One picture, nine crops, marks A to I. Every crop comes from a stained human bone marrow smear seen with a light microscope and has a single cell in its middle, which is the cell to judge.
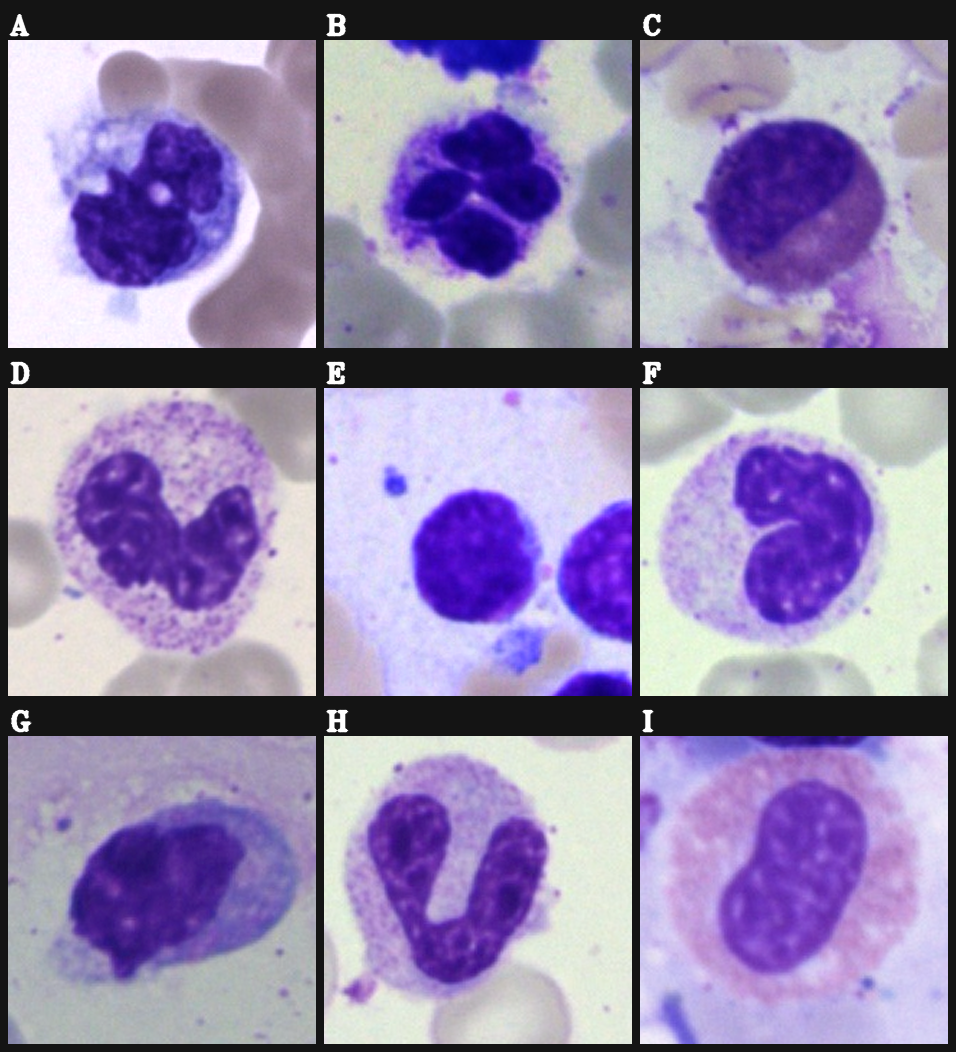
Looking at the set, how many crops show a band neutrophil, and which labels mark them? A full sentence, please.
Answer for the set: two crops show band neutrophils, namely crops D and F.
